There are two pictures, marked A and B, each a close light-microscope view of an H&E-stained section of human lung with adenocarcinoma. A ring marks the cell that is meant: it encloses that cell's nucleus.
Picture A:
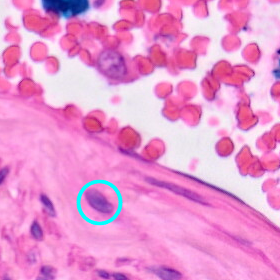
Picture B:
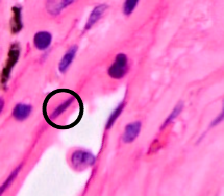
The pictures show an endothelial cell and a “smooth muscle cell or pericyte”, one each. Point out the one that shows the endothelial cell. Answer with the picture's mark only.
B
